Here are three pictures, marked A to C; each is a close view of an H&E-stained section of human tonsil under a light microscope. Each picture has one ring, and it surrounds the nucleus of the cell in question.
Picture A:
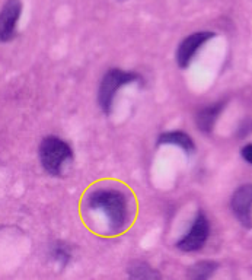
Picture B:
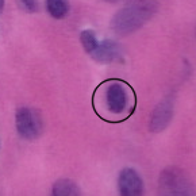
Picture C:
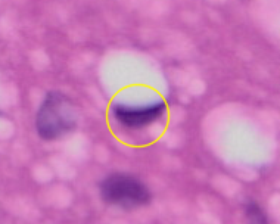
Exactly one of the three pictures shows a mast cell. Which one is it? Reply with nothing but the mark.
B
